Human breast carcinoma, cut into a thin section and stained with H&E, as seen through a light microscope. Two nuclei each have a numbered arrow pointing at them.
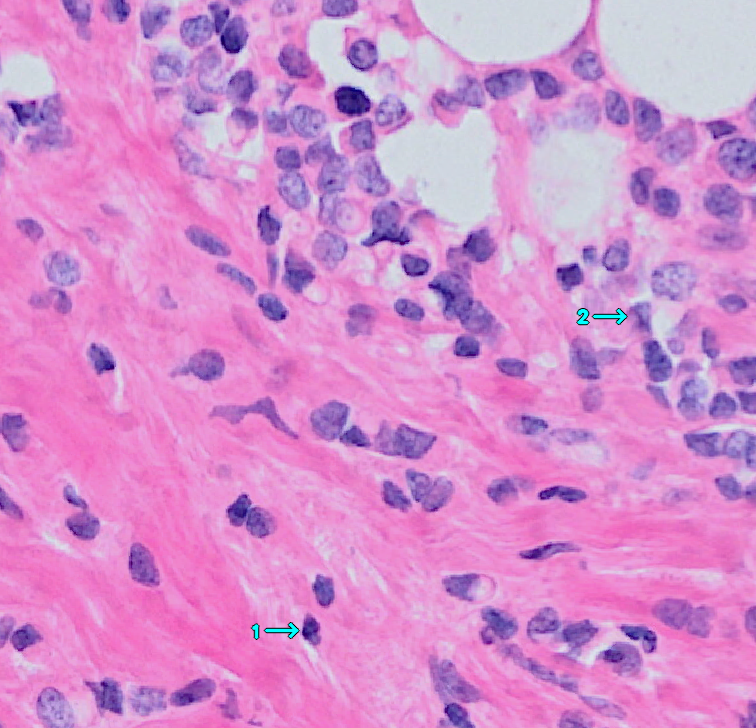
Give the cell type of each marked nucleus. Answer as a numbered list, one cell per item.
1. lymphocyte
2. carcinoma cell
